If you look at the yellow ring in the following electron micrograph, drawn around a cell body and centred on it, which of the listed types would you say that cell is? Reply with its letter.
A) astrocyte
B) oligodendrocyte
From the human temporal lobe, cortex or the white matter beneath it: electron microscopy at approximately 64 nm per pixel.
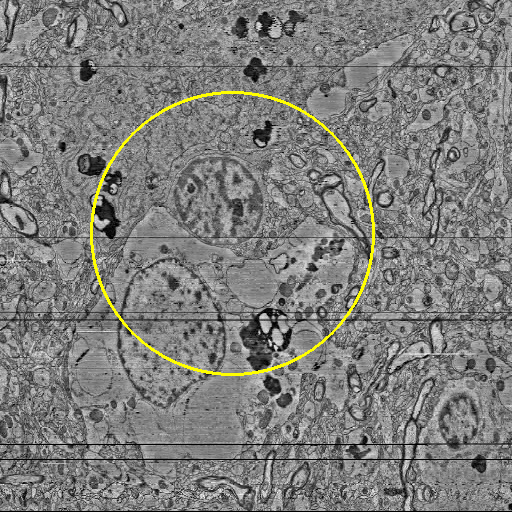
B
